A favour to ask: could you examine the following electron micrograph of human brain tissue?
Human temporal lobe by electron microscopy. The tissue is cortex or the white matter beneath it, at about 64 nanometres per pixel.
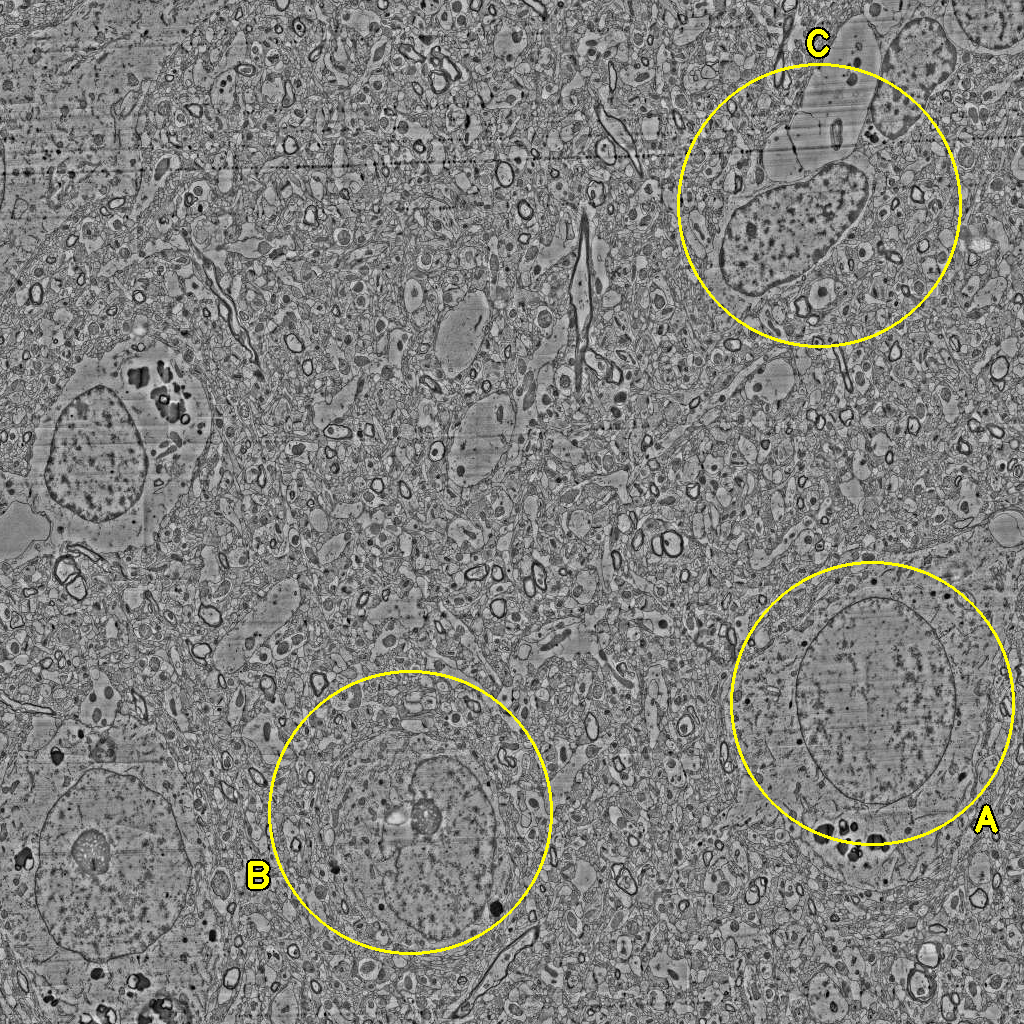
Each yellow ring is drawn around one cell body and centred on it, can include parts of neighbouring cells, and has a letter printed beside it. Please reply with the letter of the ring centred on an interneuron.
B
